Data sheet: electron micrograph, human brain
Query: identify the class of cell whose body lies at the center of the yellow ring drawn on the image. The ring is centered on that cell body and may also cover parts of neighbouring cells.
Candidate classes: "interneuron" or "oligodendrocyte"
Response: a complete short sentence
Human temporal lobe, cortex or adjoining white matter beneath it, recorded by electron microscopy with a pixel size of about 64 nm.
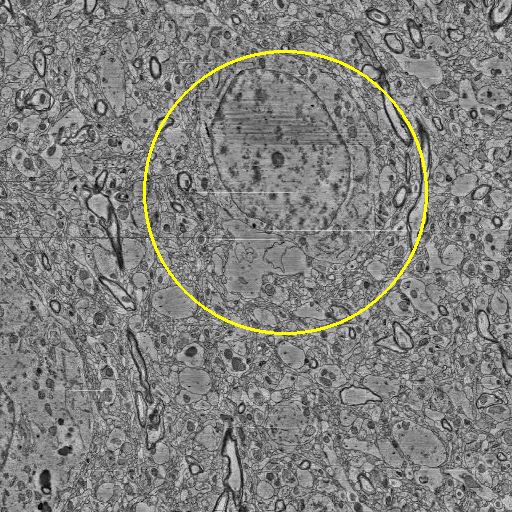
At the center of the ring lies an interneuron.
